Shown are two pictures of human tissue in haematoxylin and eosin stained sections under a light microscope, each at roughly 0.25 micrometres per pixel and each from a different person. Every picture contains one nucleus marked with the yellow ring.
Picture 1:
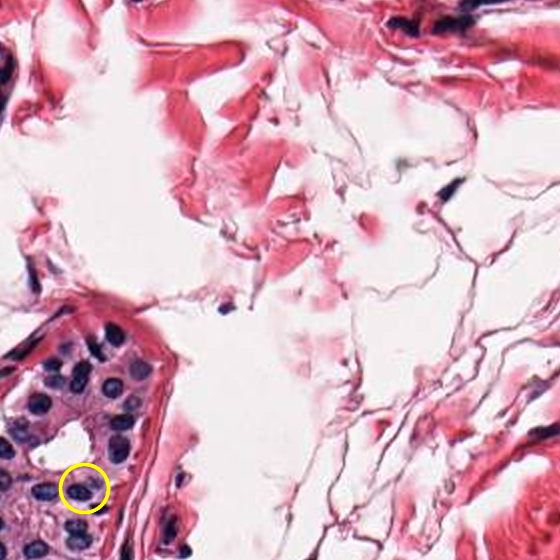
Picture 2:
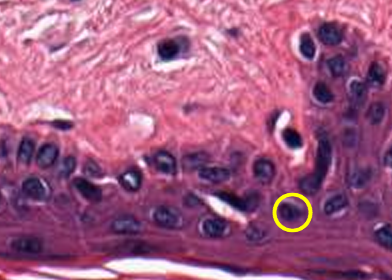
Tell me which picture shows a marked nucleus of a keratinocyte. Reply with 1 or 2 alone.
2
